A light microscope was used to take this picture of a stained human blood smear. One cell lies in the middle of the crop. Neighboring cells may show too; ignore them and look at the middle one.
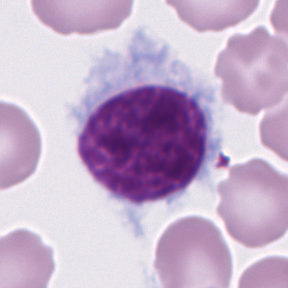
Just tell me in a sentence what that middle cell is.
Answering briefly, the cell in the middle is a hairy cell.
